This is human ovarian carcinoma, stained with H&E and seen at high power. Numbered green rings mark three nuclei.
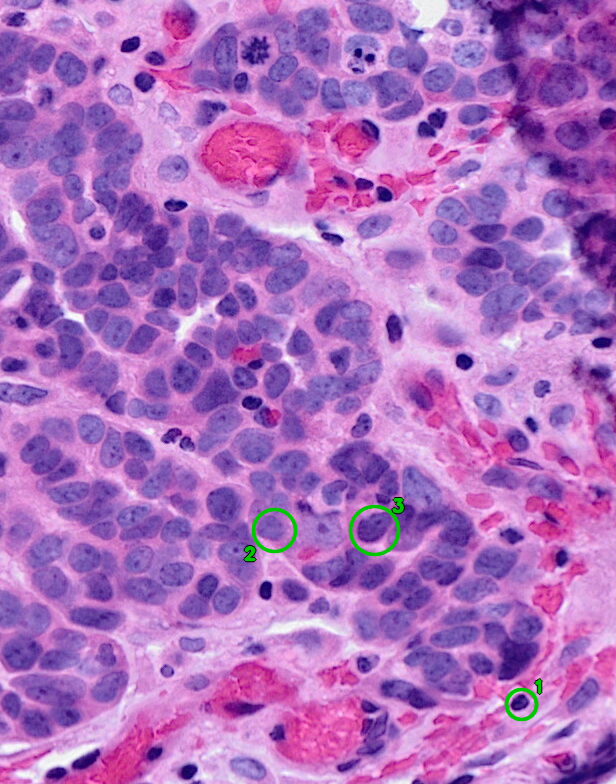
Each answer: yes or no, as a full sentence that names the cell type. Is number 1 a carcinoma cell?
No, number 1 marks a lymphocyte rather than a carcinoma cell.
